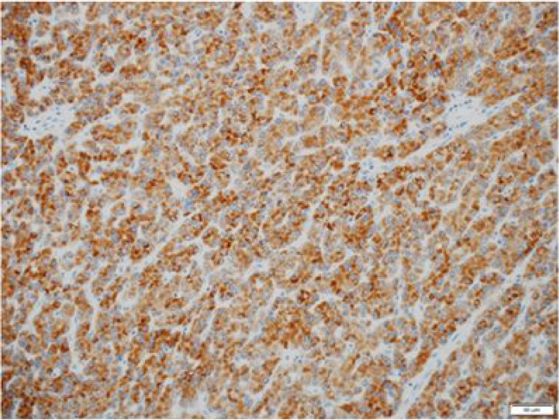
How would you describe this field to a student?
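Tumor tissue composed of polygonal cells growing in crowded cords and trabeculae separated by narrow slit-like vascular spaces. The cytoplasm of most tumor cells is stained brown, with variable intensity from cell to cell, giving a mottled pattern. Nuclei are round, blue and more crowded than in normal liver plates. Thin strands of stroma with small flat blue nuclei run between the cords, and some cells show only faint brown colour around their nuclei.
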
